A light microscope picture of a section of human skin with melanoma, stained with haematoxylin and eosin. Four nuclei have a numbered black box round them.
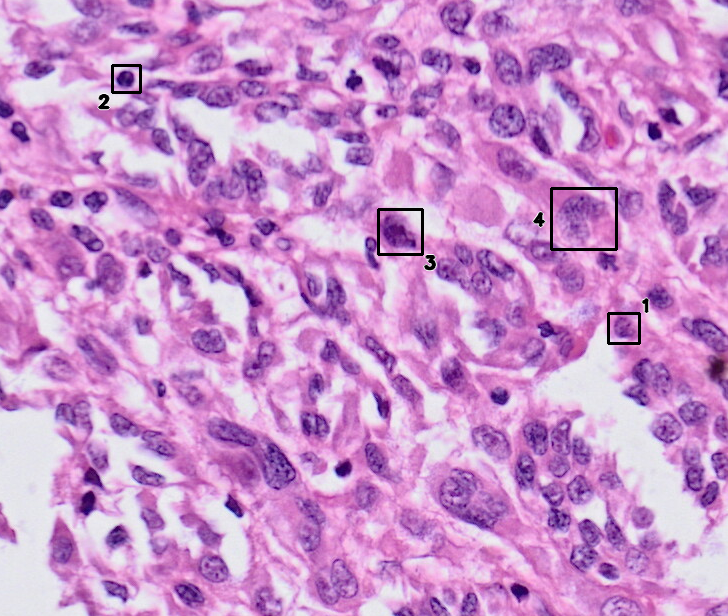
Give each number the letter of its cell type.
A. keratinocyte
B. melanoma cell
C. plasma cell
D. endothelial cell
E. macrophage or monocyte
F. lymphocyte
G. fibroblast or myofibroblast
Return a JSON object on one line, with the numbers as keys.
{"1": "B", "2": "F", "3": "B", "4": "B"}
